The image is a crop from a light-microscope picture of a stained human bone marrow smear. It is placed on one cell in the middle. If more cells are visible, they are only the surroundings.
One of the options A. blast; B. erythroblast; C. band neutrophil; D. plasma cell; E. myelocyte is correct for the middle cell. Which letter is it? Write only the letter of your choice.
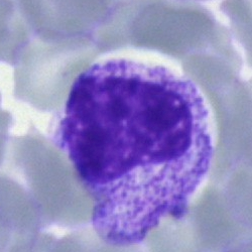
E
